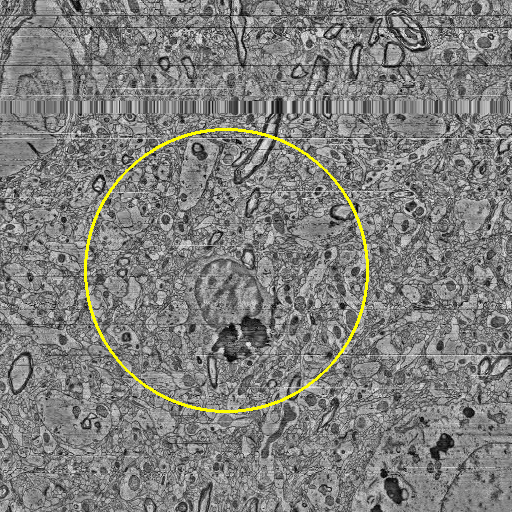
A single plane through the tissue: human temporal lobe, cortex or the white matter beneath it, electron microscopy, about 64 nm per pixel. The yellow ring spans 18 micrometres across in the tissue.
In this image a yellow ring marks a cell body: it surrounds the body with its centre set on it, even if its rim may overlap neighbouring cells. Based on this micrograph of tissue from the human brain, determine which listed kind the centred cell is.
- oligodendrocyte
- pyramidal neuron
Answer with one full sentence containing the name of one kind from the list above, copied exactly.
It is an oligodendrocyte whose body the yellow ring encloses at its centre.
